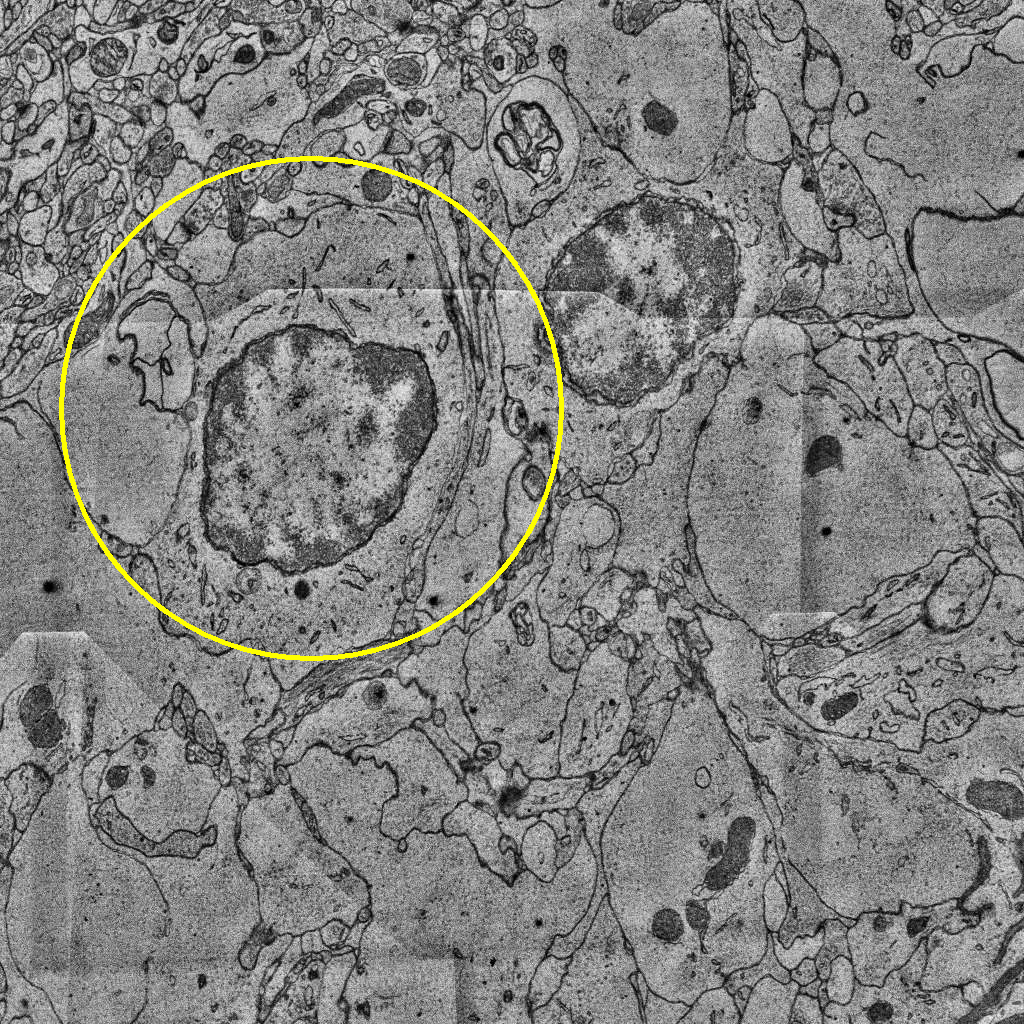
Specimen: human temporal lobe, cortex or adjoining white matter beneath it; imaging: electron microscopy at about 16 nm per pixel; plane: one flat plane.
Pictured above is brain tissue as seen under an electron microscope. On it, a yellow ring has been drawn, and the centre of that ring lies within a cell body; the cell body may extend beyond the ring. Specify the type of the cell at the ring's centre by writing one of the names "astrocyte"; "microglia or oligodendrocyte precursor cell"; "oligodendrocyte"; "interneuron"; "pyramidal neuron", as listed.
microglia or oligodendrocyte precursor cell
